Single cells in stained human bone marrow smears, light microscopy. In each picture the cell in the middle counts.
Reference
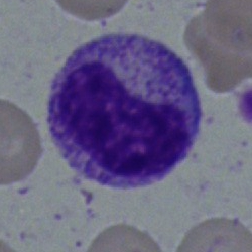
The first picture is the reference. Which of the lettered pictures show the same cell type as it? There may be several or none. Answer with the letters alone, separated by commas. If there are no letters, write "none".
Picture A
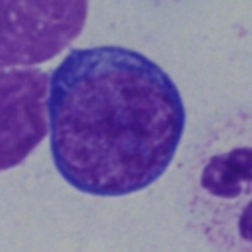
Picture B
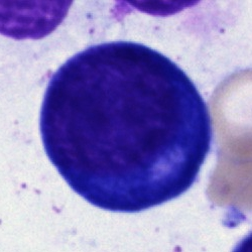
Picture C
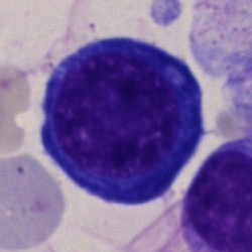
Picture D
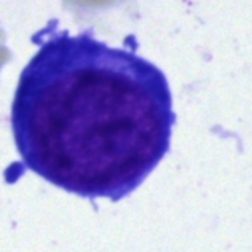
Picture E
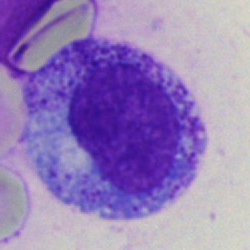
none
